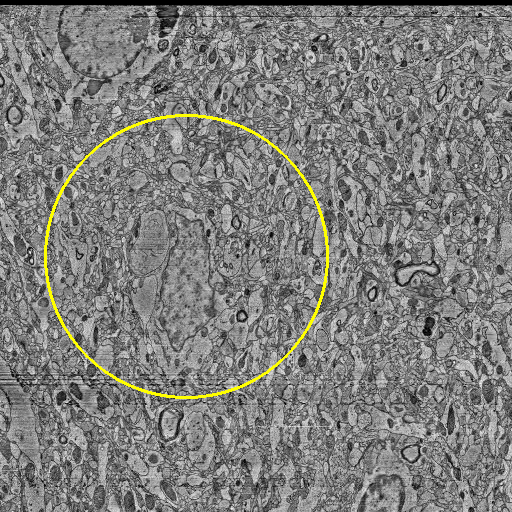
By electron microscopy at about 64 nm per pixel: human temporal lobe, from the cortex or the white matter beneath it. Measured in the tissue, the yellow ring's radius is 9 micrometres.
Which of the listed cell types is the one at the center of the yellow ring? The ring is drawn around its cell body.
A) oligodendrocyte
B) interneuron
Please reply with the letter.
B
